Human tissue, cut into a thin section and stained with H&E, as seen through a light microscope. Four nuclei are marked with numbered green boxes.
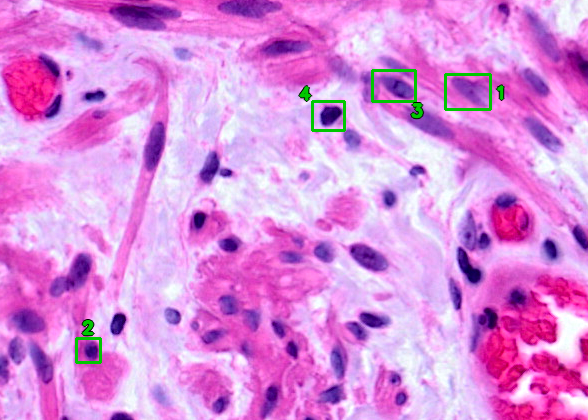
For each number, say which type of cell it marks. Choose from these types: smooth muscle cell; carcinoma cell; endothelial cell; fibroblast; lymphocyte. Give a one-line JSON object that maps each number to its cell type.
{"1": "smooth muscle cell", "2": "smooth muscle cell", "3": "smooth muscle cell", "4": "lymphocyte"}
